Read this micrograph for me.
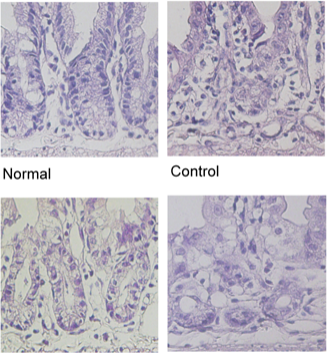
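Four high-power views of intestinal crypts at the base of the small intestinal mucosa, lined by epithelial cells. In the top left view the crypts are regular tubular glands with closely packed columnar cells and elongated, dark purple nuclei around a narrow lumen. In the top right view the crypts are disorganised, with fewer, scattered nuclei and pale, vacuolated cytoplasm. The bottom left view shows crypts with fairly well-preserved rows of epithelial nuclei. The bottom right view shows rounded, dilated crypt profiles with sparse cells and pale spaces, in loose surrounding connective tissue.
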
